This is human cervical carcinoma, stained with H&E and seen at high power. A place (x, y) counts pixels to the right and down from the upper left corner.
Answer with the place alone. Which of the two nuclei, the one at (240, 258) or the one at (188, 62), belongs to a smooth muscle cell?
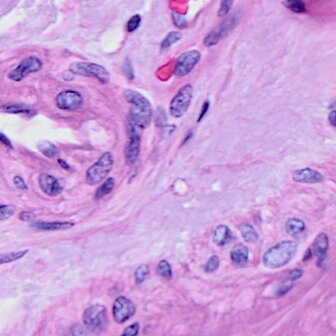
(240, 258)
